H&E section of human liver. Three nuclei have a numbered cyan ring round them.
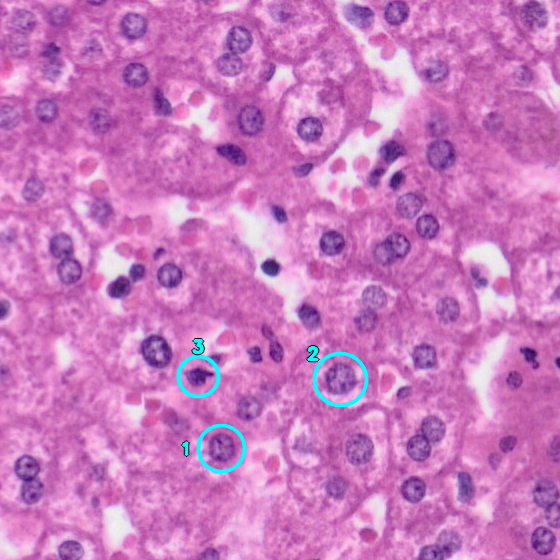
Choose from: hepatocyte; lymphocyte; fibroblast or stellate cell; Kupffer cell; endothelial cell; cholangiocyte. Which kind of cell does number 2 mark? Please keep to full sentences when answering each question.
The label 2 in this section denotes a hepatocyte.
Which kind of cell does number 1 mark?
The marked cell bearing number 1 is a hepatocyte.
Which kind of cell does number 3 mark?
Identified as a fibroblast or stellate cell is the cell bearing the number 3.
